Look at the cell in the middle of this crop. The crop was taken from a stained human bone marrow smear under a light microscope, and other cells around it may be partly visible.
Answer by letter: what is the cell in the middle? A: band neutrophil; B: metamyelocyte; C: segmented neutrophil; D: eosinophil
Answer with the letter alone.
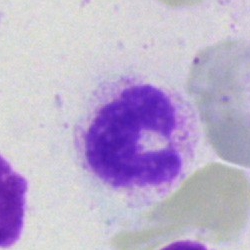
C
